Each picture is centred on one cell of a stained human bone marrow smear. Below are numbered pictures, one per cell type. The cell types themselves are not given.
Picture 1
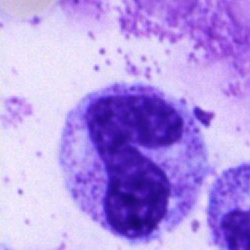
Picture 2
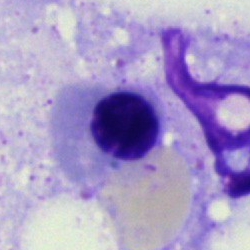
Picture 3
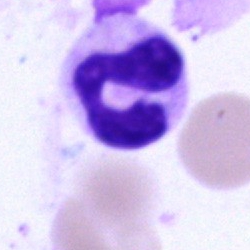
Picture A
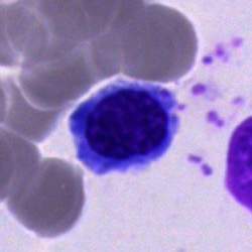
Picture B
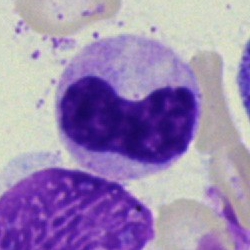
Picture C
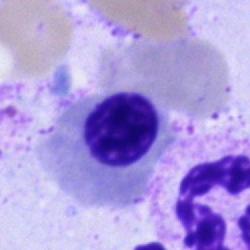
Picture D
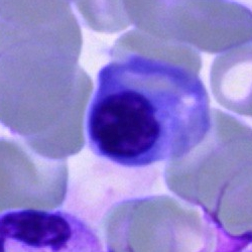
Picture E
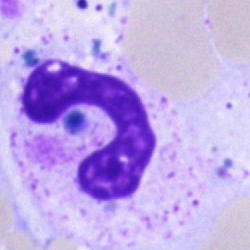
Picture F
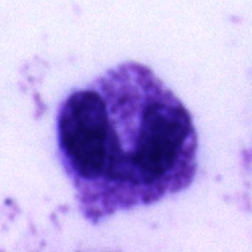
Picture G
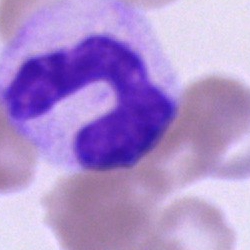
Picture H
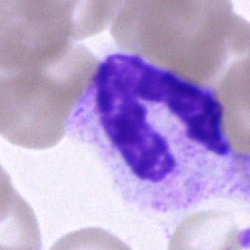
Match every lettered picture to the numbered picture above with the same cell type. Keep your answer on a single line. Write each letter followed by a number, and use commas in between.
A 2, B 1, C 2, D 2, E 1, F 1, G 1, H 1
